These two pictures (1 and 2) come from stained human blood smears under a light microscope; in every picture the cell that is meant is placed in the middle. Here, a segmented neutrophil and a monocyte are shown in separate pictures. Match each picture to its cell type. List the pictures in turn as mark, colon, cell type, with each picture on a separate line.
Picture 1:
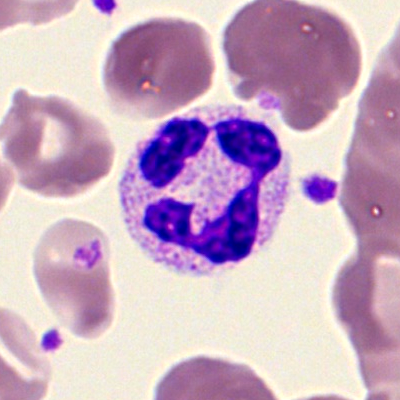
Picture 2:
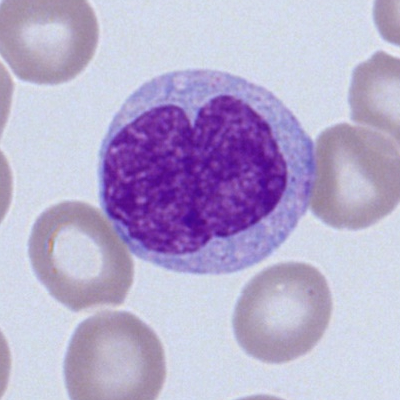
1: segmented neutrophil
2: monocyte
